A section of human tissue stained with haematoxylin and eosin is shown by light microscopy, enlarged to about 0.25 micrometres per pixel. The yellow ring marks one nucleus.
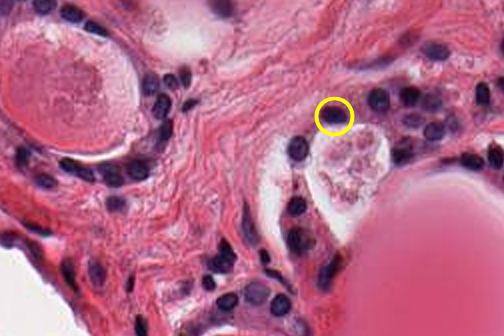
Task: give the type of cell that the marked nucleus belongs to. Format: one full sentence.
The marked nucleus lies within a thyroid follicular cell.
